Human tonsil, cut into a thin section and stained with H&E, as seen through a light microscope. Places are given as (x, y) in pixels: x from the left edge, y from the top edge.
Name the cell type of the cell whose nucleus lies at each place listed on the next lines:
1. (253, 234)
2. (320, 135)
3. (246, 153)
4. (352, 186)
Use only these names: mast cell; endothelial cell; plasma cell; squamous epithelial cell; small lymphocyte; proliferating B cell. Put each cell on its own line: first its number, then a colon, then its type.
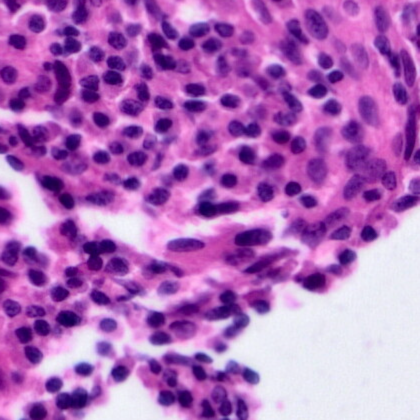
1: squamous epithelial cell
2: squamous epithelial cell
3: plasma cell
4: squamous epithelial cell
